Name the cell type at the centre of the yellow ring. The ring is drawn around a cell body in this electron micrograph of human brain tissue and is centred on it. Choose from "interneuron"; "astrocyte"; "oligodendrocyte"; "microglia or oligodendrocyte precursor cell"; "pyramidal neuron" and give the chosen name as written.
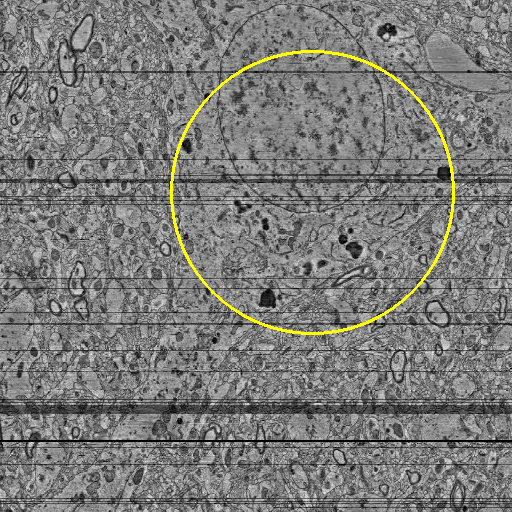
pyramidal neuron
